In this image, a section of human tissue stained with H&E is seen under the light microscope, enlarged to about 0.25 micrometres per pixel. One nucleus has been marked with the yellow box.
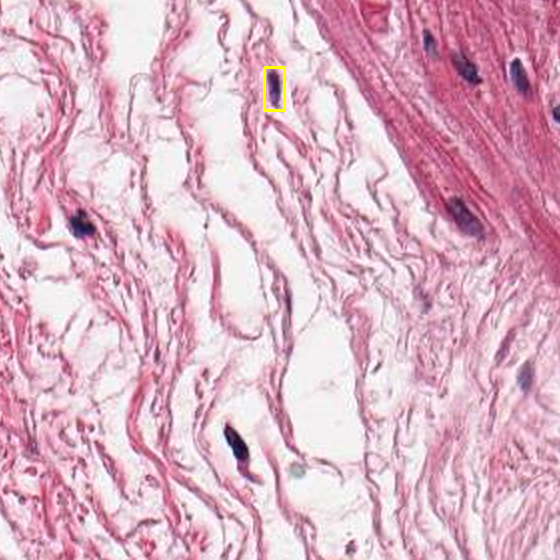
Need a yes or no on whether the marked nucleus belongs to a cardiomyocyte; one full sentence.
No, it is not a cardiomyocyte but a supporting cell to which the marked nucleus is assigned.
